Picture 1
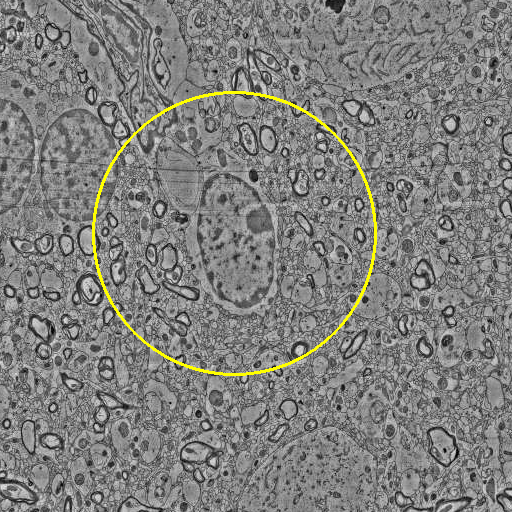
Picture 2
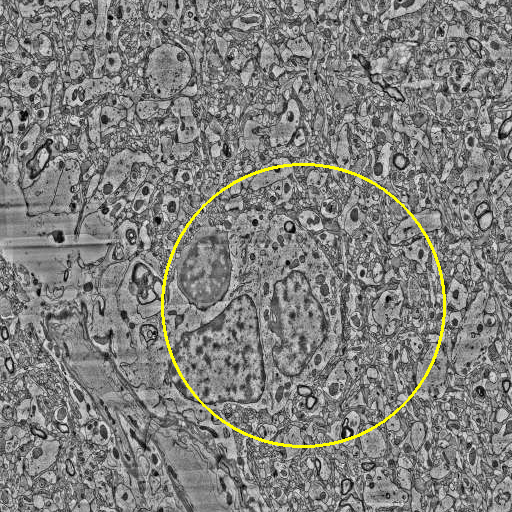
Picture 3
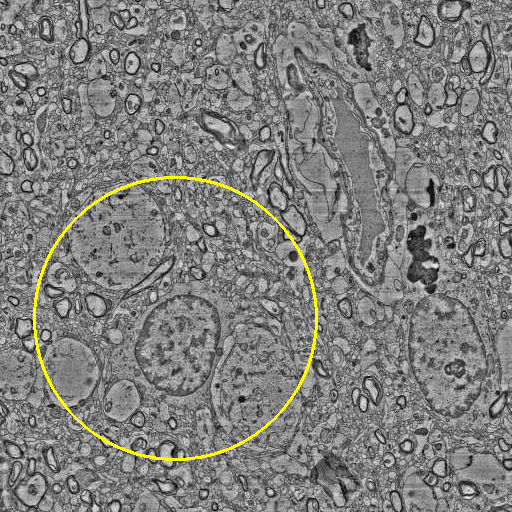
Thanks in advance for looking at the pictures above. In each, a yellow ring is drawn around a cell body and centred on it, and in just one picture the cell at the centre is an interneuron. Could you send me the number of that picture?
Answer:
2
